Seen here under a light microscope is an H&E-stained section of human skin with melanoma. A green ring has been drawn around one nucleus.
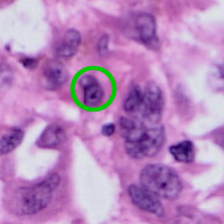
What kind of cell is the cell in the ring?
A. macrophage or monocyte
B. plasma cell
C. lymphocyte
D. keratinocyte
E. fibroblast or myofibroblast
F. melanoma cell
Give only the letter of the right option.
A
